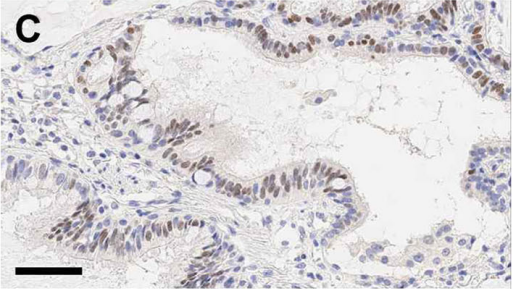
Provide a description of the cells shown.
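A single layer of epithelial cells lines a large space that holds pale, finely stranded mucus. Most of the lining cells have oval nuclei stained brown, lined up along the epithelium. Some lining cells have pale, clear cytoplasm and blue, unstained nuclei. The stroma around the epithelium is loose, and its spindle-shaped cells have blue nuclei without brown stain. The brown stain is therefore confined to the nuclei of the epithelial lining.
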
